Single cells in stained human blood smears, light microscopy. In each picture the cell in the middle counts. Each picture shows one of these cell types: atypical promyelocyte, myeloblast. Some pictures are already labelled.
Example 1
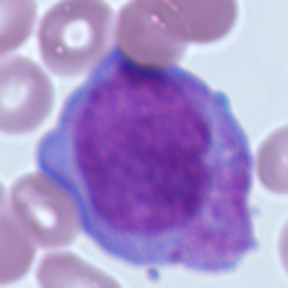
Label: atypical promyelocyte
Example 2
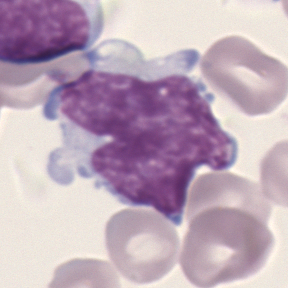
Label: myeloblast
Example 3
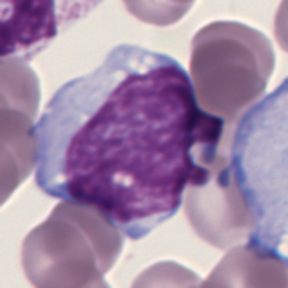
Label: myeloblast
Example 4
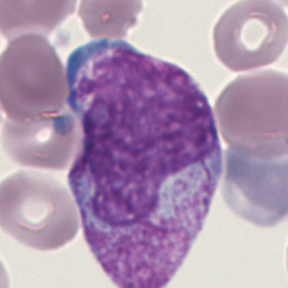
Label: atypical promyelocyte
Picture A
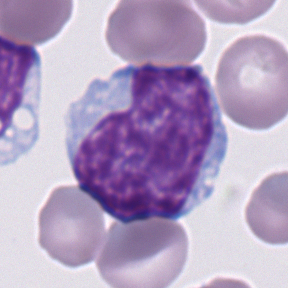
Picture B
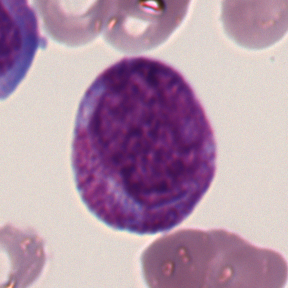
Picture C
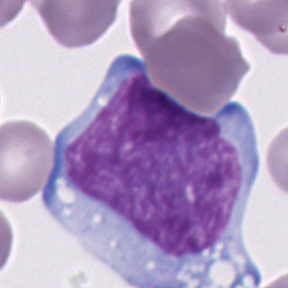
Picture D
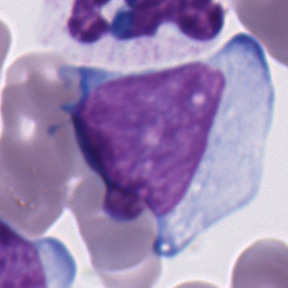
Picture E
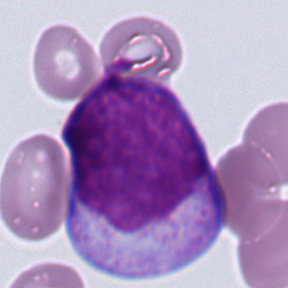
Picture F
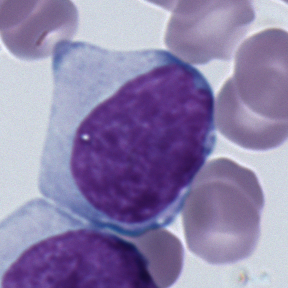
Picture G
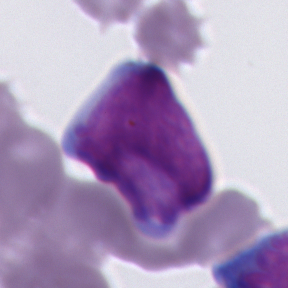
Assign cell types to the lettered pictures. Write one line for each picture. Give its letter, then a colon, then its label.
A: myeloblast
B: atypical promyelocyte
C: myeloblast
D: myeloblast
E: atypical promyelocyte
F: myeloblast
G: myeloblast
